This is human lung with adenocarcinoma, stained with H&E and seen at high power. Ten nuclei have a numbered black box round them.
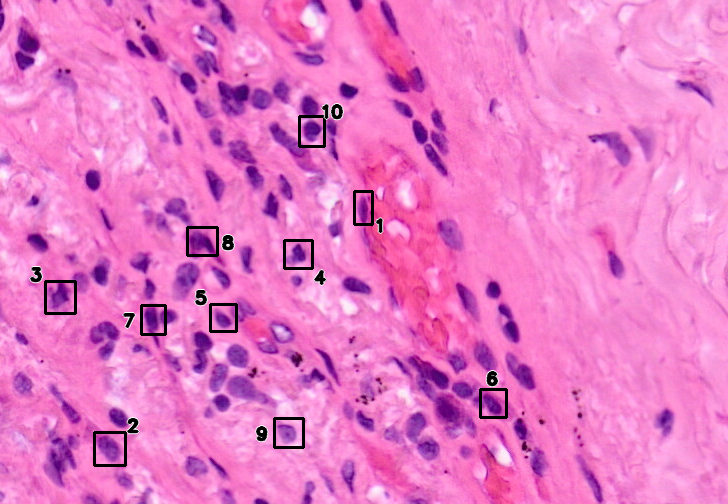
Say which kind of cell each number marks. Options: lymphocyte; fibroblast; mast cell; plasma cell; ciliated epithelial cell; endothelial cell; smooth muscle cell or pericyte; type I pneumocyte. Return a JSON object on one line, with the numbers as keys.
{"1": "endothelial cell", "2": "plasma cell", "3": "plasma cell", "4": "lymphocyte", "5": "lymphocyte", "6": "plasma cell", "7": "lymphocyte", "8": "plasma cell", "9": "lymphocyte", "10": "lymphocyte"}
